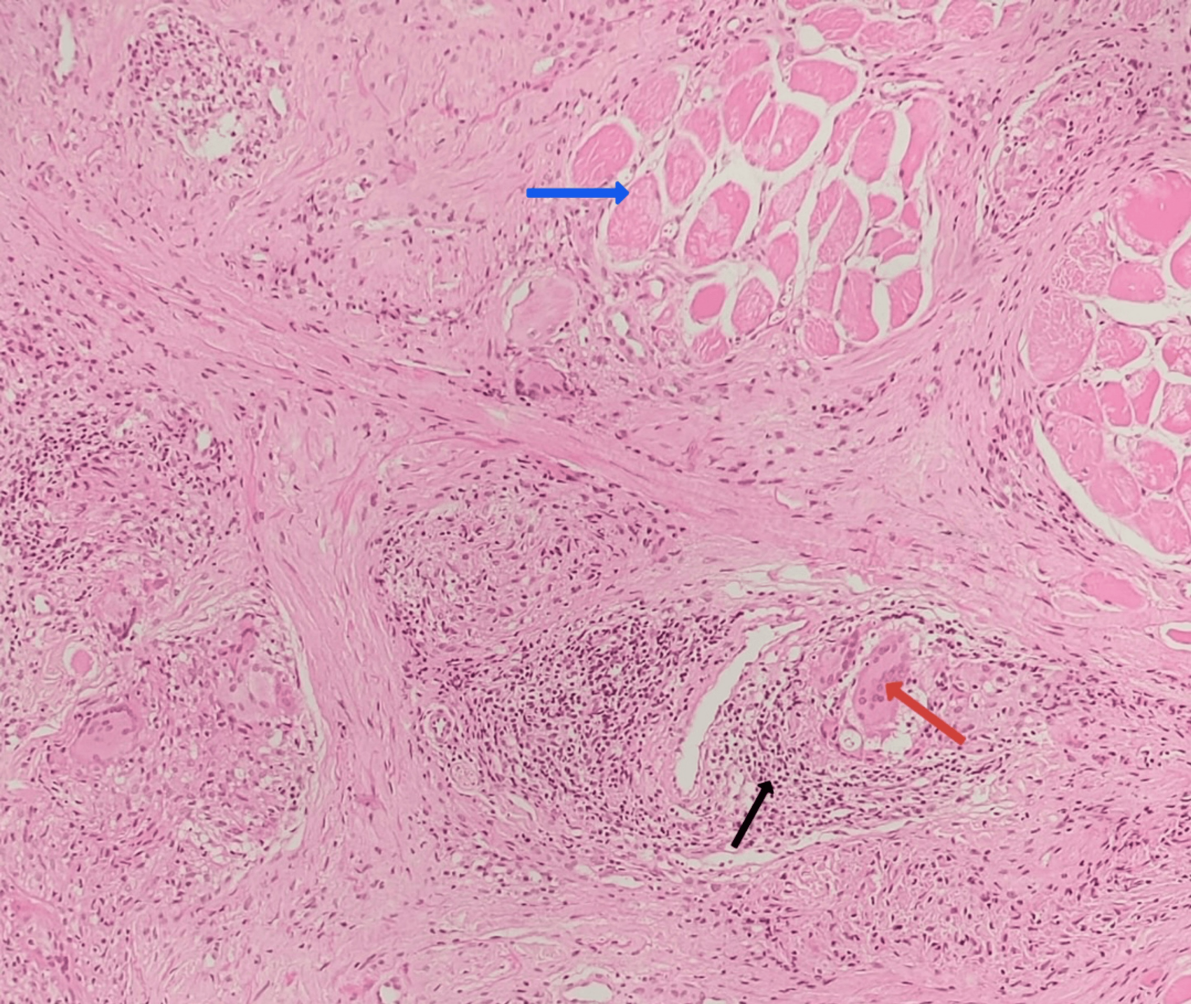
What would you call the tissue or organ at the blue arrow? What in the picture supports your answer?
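The blue arrow points to a group of large, polygonal, bright pink fibers cut in cross section. The fibers are grouped into a bundle surrounded by connective tissue. Nuclei sit at the edges of the fibers. The answer: skeletal muscle bundles.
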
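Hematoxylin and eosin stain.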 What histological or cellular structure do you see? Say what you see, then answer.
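Several rounded nodules of pale pink cells with oval nuclei lie in fibrous tissue. The nodules are rimmed by small dark inflammatory cells. Large multinucleated cells lie within some of the nodules. On this evidence: Epithelioid granulomas.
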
